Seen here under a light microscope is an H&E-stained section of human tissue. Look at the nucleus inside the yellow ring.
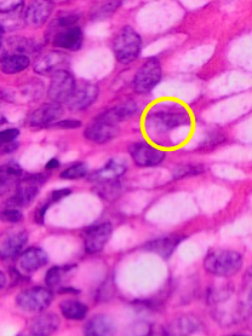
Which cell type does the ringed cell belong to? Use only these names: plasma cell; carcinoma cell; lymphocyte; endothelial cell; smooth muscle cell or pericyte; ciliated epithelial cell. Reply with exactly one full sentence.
In this section, the ringed cell is a ciliated epithelial cell.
